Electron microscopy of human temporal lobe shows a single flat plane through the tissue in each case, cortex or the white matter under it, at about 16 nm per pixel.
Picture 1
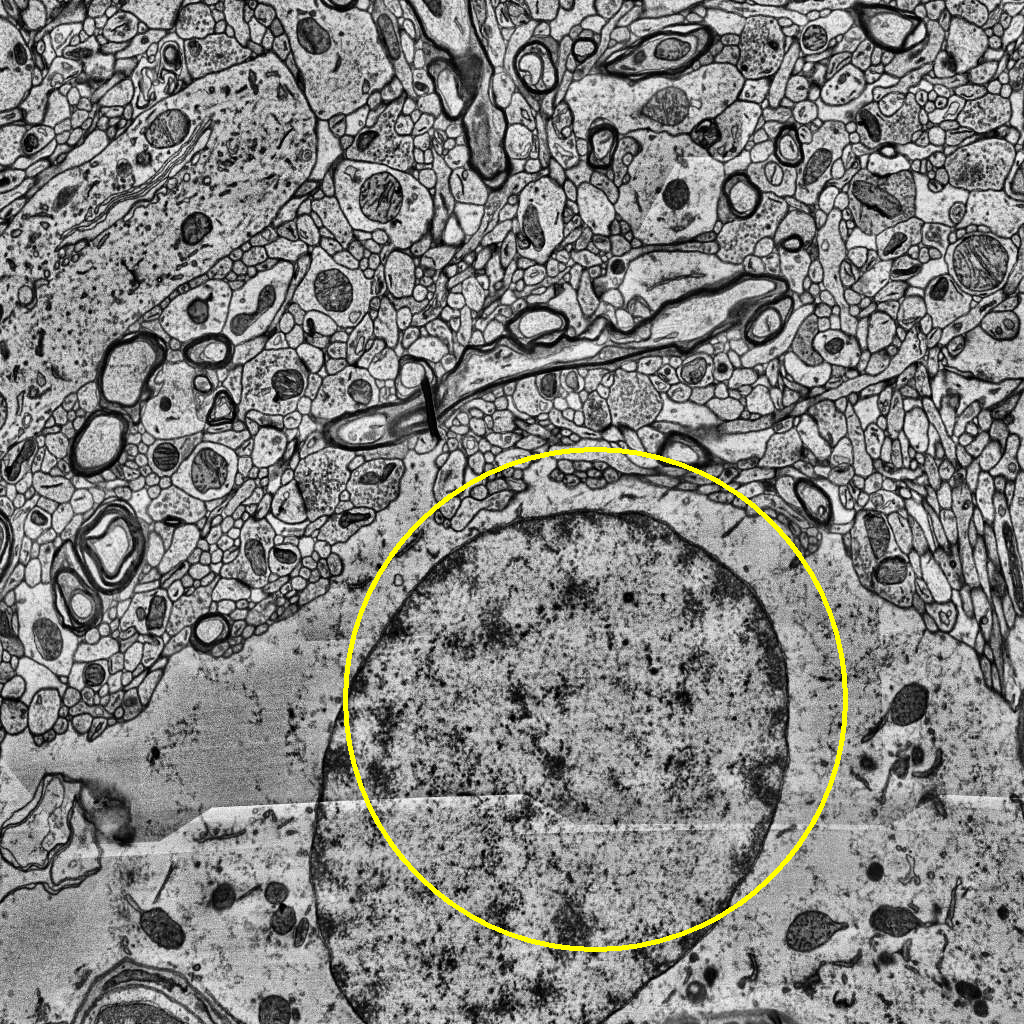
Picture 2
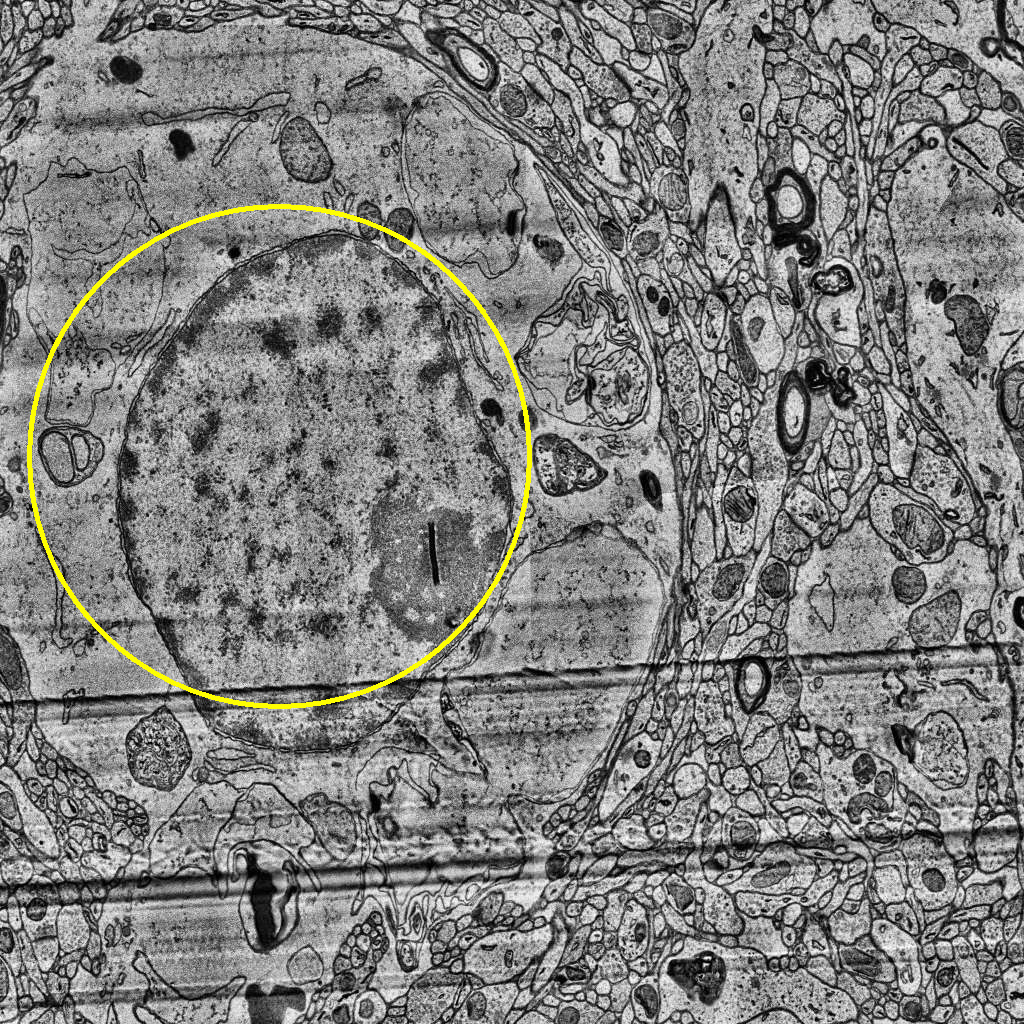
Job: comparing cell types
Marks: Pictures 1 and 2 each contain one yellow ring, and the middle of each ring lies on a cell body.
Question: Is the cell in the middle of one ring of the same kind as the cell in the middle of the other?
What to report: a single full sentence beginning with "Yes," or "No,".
Yes, the cell at the ring centre in Picture 1 and its partner in Picture 2 are of one kind.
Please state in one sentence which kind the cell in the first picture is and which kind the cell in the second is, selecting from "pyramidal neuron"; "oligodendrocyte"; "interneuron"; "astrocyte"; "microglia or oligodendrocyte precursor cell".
The cell in the first picture is an astrocyte, and so is the one in the second.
